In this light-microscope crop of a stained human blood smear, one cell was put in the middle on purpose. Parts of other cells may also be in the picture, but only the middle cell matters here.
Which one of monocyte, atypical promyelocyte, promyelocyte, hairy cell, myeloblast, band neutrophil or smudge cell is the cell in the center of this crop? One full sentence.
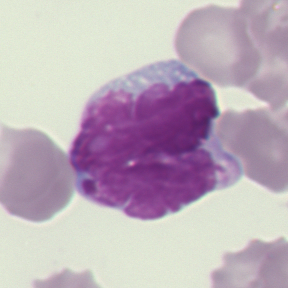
Within this crop, a myeloblast occupies the central position.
